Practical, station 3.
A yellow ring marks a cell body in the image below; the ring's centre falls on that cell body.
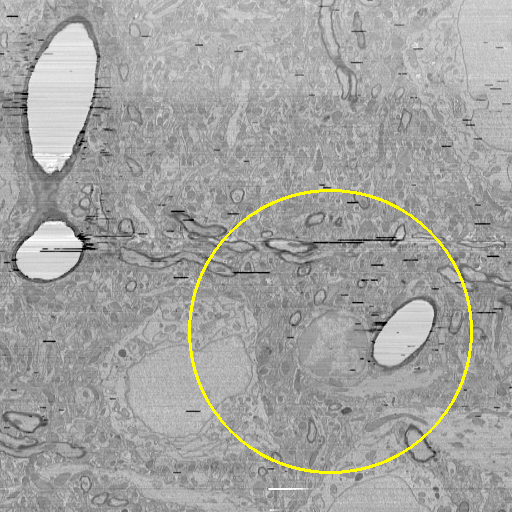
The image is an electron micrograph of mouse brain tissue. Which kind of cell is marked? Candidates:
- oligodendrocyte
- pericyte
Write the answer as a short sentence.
The marked cell body is that of an oligodendrocyte.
